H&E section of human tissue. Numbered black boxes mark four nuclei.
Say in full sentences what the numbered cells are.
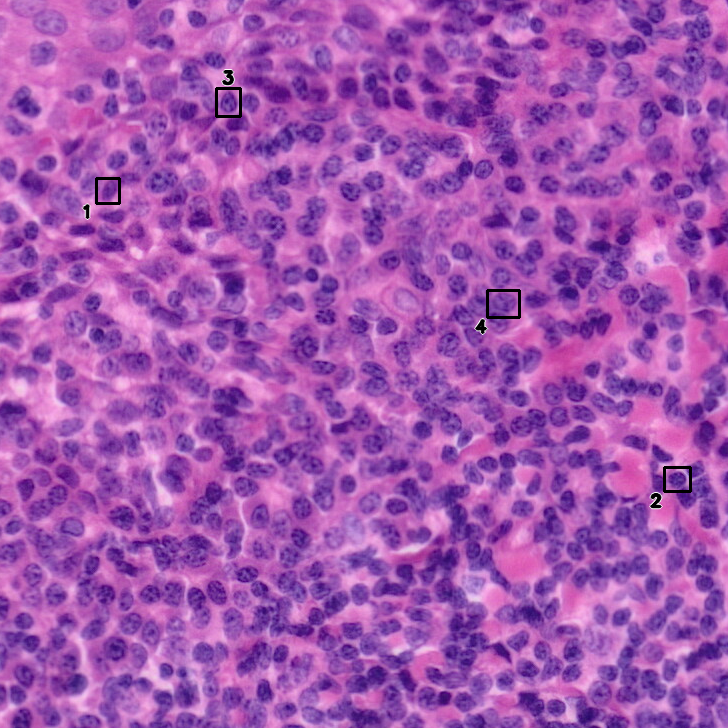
Cell 1 is a squamous epithelial cell. Cell 2 is a small lymphocyte. Cells 3 and 4 are plasma cells.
